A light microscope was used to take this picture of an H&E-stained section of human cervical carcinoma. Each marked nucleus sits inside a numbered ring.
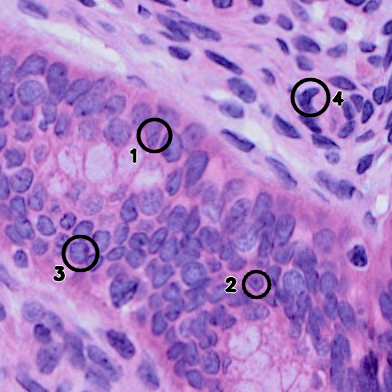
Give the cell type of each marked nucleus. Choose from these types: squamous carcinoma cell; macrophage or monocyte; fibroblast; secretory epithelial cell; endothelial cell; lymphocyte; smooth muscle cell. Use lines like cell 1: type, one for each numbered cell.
cell 1: secretory epithelial cell
cell 2: secretory epithelial cell
cell 3: secretory epithelial cell
cell 4: fibroblast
